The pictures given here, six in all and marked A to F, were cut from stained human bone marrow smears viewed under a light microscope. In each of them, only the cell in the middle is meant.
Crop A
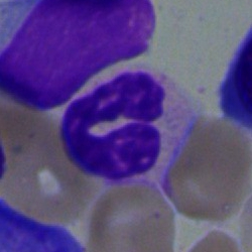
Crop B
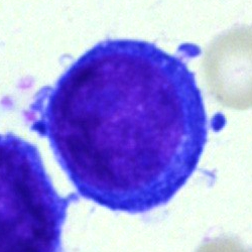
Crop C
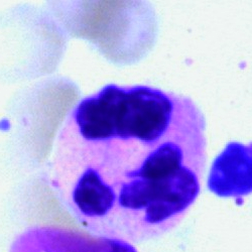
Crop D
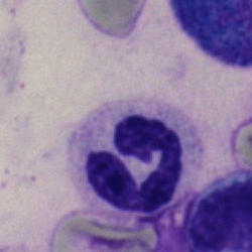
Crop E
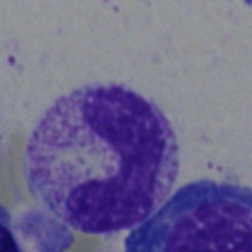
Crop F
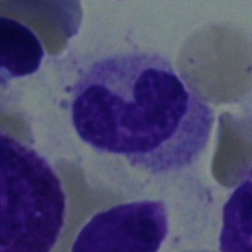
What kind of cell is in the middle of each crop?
A: band neutrophil
B: proerythroblast
C: segmented neutrophil
D: segmented neutrophil
E: band neutrophil
F: band neutrophil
